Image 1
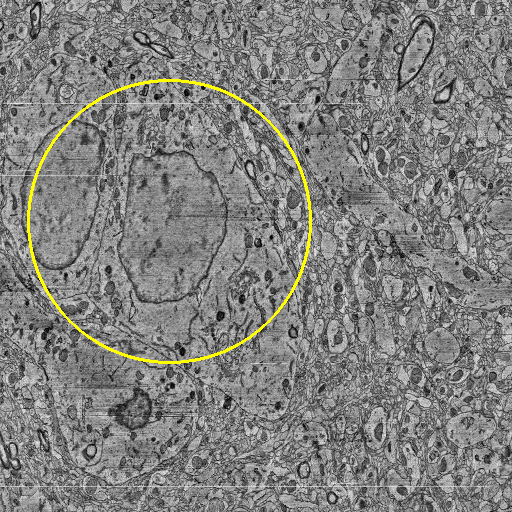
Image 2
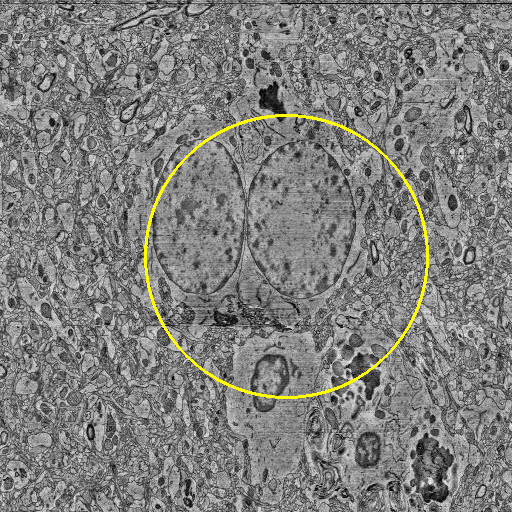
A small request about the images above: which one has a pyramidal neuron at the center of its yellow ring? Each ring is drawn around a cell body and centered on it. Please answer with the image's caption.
Image 1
